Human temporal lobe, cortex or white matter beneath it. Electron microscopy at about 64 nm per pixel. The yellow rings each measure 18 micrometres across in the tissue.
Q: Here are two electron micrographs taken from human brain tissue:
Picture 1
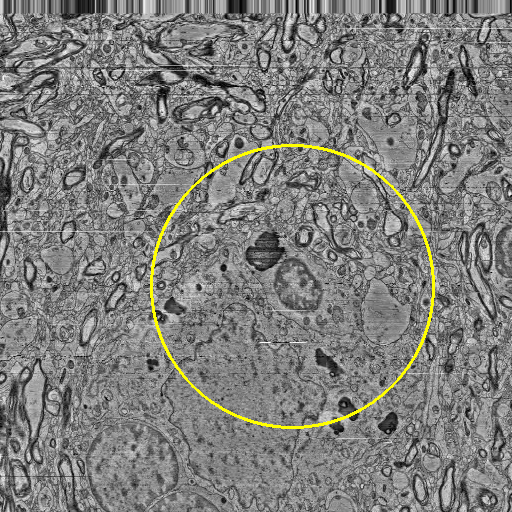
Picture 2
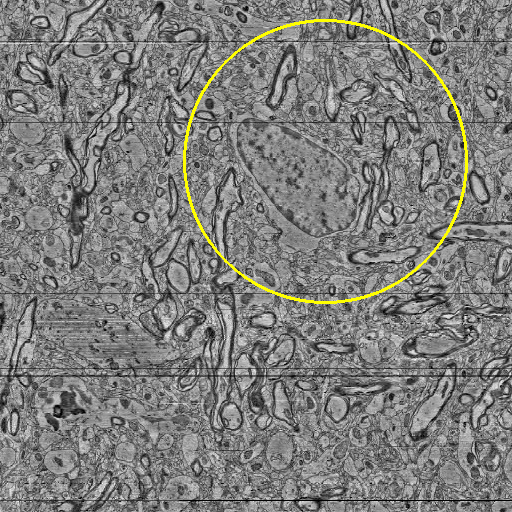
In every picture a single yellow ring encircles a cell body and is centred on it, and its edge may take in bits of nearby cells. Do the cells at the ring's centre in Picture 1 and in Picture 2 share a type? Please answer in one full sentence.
No, the cells at the ring's centre in Picture 1 and Picture 2 are of two types.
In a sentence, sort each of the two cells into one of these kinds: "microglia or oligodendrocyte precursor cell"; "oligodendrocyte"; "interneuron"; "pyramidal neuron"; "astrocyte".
The first of the two cells is an oligodendrocyte, and the second is a microglial cell or oligodendrocyte precursor cell.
